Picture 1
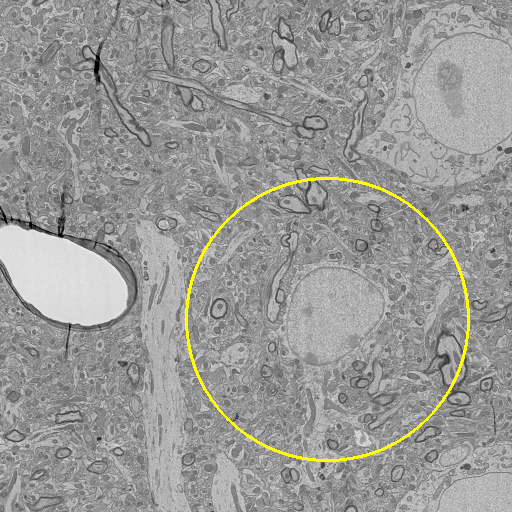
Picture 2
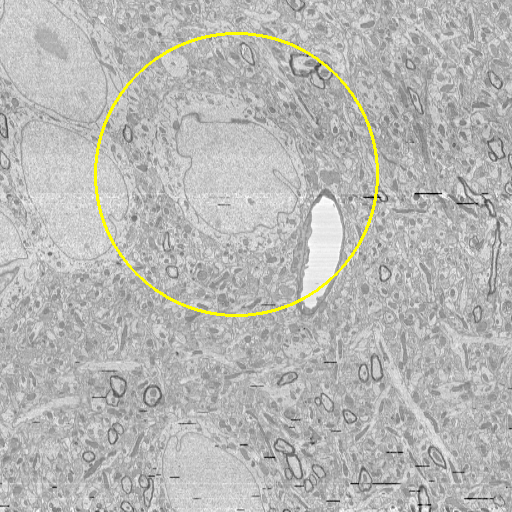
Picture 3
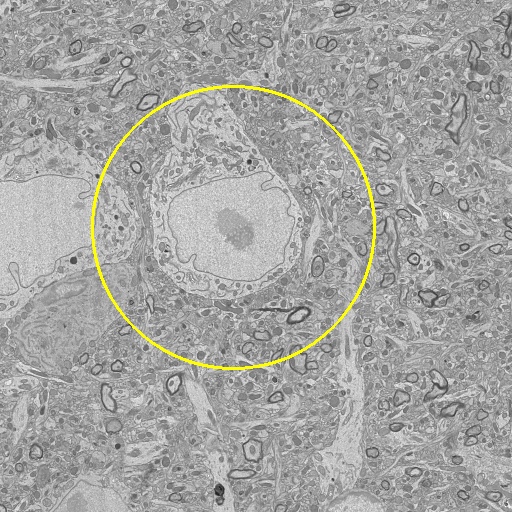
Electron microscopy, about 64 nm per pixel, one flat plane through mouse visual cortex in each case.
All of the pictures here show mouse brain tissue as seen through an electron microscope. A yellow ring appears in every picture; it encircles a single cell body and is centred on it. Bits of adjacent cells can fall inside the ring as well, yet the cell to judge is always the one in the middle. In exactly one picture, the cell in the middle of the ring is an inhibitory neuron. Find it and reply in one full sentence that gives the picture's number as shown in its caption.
Of all the pictures, picture 3 has the right cell at the centre of its ring.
